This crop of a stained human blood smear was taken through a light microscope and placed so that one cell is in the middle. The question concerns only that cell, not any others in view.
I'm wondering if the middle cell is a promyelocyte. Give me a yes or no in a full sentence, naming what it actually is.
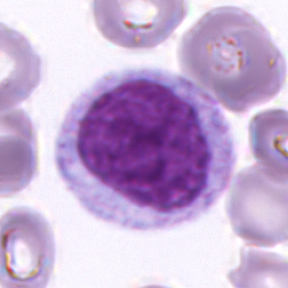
No, the middle cell is not a promyelocyte, it being a myelocyte.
